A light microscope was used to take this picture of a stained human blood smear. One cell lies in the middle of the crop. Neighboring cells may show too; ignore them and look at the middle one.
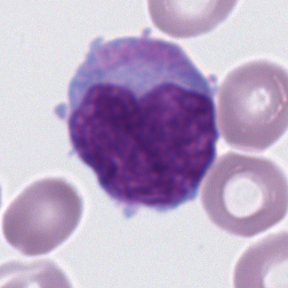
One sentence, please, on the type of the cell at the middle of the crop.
The cell positioned in the middle of the field is an atypical promyelocyte.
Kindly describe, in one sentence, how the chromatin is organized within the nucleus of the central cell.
This nucleus has coarsely clumped chromatin.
